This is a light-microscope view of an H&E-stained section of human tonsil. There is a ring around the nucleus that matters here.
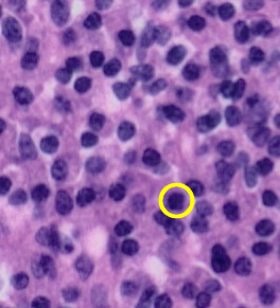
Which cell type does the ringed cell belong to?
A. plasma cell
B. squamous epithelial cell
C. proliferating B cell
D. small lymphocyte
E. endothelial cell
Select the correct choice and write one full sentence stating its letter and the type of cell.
Option A is right in classifying the ringed cell as a plasma cell.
